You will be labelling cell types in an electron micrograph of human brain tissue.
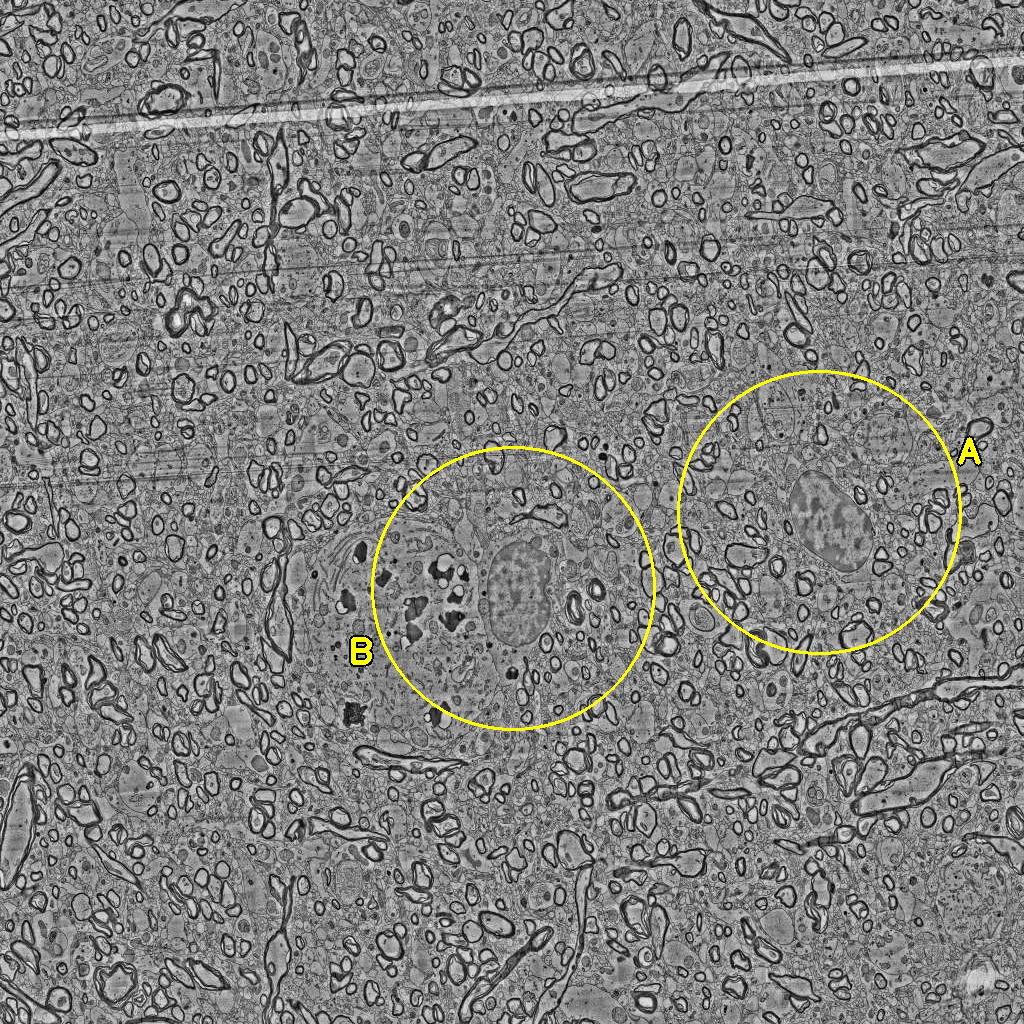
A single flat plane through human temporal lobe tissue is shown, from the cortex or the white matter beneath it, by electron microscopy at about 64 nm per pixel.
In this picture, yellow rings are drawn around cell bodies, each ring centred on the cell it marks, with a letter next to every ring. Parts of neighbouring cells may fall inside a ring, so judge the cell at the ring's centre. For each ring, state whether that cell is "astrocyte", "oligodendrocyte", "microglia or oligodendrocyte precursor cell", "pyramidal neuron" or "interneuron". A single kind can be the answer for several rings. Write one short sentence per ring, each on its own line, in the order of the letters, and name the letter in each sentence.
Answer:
Ring A contains a microglial cell or oligodendrocyte precursor cell at its centre.
Ring B contains an oligodendrocyte at its centre.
